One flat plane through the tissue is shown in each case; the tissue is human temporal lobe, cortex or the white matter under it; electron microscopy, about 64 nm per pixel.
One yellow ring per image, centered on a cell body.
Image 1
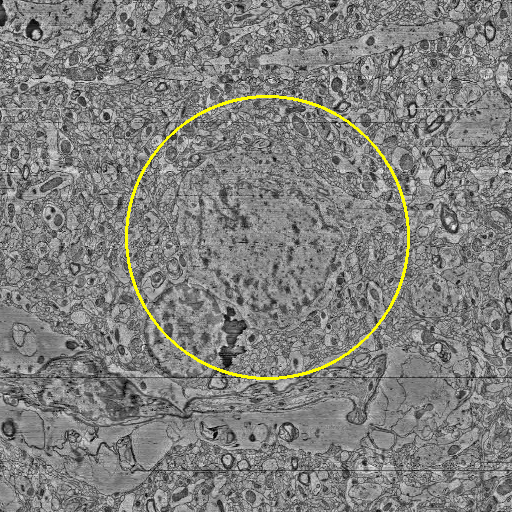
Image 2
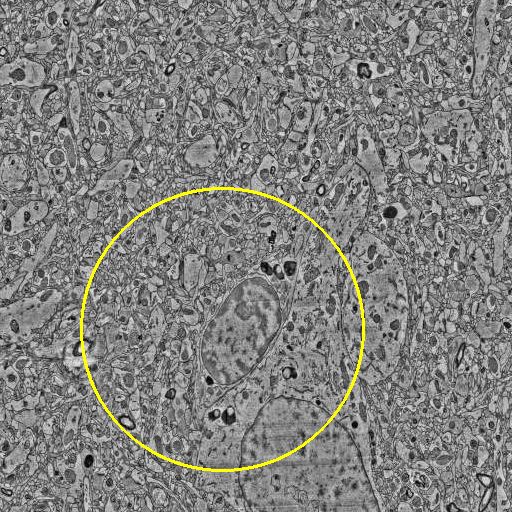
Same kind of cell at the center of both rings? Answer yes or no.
no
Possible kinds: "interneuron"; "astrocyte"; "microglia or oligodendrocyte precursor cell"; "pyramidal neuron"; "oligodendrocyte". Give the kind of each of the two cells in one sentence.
The cell in the second picture is a microglial cell or oligodendrocyte precursor cell, and that in the first is an interneuron.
